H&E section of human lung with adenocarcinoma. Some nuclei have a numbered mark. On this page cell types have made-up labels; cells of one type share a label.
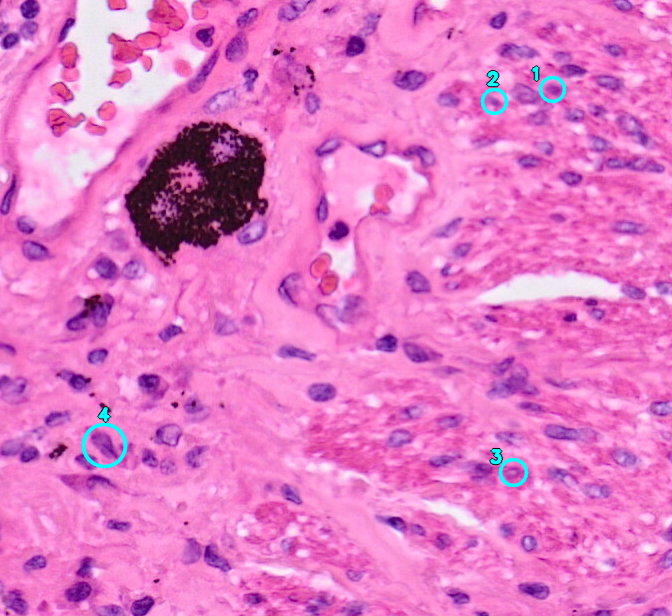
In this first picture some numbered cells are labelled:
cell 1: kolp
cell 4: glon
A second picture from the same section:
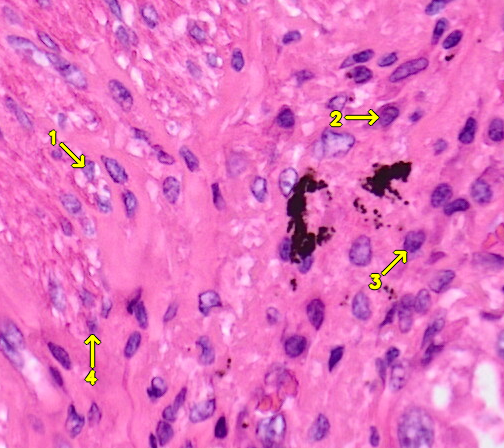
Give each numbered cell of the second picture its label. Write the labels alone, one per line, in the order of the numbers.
kolp
glon
glon
kolp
